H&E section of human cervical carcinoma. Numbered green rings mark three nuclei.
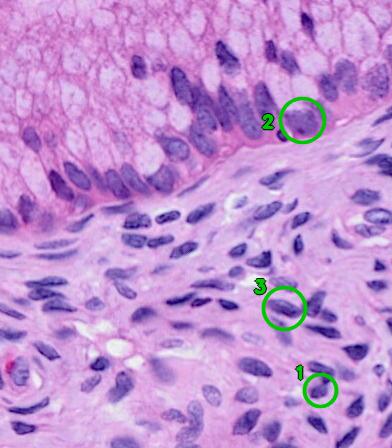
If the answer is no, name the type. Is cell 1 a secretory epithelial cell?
No, it is a fibroblast.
